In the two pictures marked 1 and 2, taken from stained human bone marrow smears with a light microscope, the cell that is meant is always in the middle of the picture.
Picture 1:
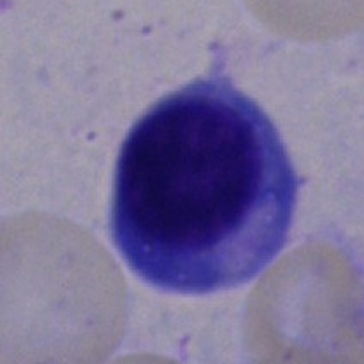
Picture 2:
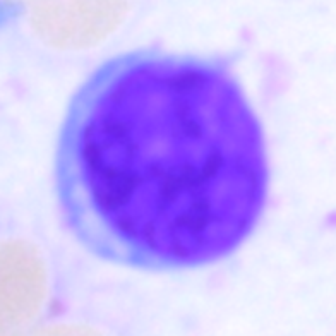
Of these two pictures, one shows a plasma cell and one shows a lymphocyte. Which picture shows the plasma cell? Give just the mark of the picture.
1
